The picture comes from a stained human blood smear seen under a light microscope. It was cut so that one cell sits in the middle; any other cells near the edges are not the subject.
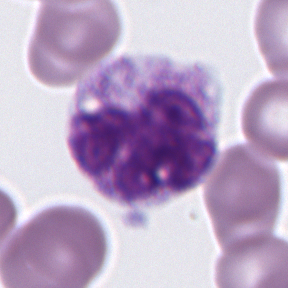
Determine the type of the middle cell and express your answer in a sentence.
The cell that lies at the centre of the crop is a segmented neutrophil.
